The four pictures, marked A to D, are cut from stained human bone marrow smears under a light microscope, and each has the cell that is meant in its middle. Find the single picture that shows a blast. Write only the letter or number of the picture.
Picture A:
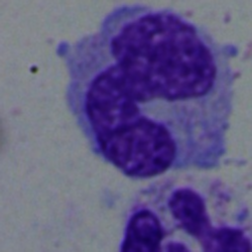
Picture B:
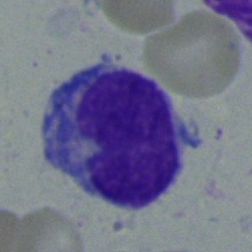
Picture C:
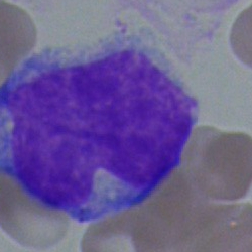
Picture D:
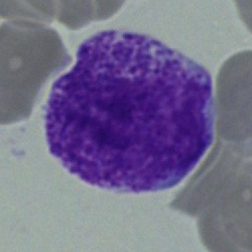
C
